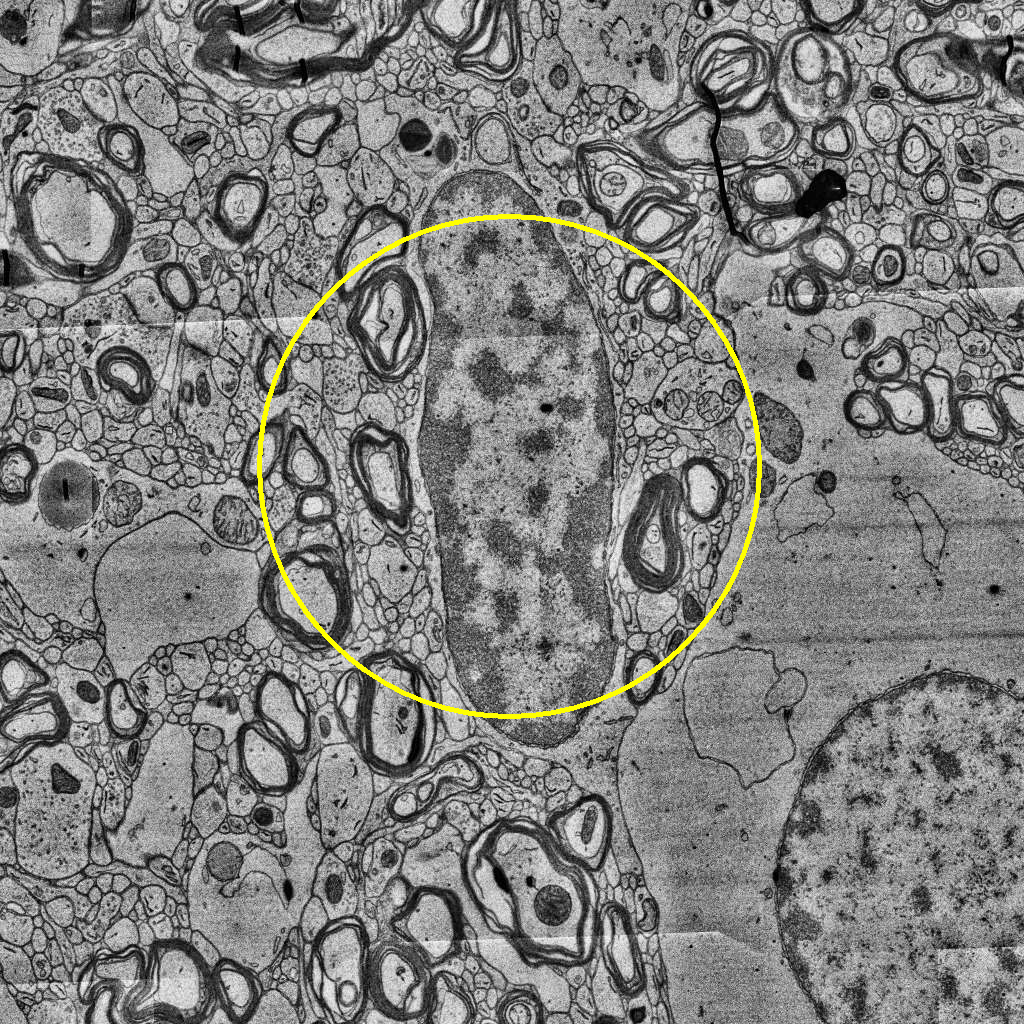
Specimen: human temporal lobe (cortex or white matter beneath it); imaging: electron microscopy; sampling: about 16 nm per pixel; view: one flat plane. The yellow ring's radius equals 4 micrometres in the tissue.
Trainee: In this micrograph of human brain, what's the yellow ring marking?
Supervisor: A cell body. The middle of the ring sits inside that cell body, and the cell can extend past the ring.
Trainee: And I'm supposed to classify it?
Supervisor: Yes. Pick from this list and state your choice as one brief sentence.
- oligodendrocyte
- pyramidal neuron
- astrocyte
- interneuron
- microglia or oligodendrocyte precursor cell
The cell at the ring's center is a microglial cell or oligodendrocyte precursor cell.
